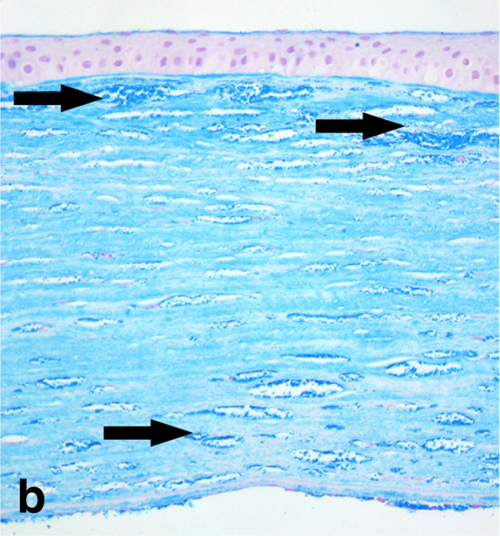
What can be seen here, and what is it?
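This is a full-thickness section of cornea with a stratified epithelium on top, a thick stroma below, and a thin cell layer lining the bottom surface. The epithelium is pale pink with several rows of cells and small round nuclei. The stroma is stained pale blue and built of parallel lamellae running across the section. Numerous elongated clefts lie among the lamellae, and many are lined or filled with dark blue granular material. These dark blue deposits are found through the whole depth of the stroma, including just below the epithelium.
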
